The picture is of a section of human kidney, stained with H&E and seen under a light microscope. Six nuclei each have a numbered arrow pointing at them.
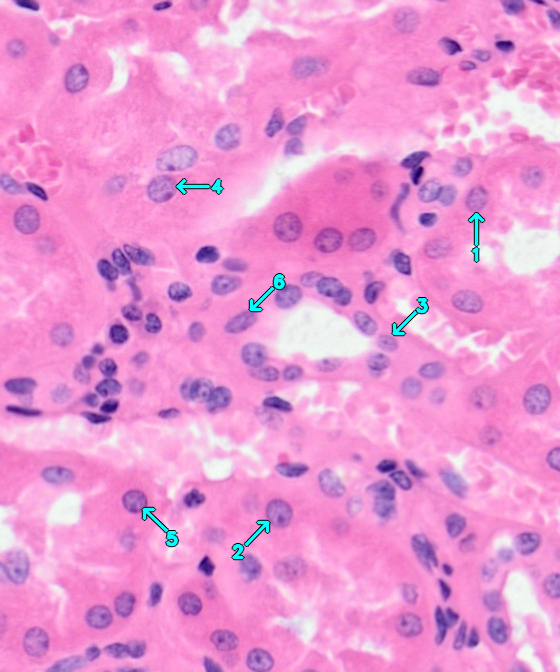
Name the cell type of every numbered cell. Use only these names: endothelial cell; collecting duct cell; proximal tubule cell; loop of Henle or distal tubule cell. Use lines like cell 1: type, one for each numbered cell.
cell 1: proximal tubule cell
cell 2: proximal tubule cell
cell 3: collecting duct cell
cell 4: proximal tubule cell
cell 5: proximal tubule cell
cell 6: collecting duct cell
